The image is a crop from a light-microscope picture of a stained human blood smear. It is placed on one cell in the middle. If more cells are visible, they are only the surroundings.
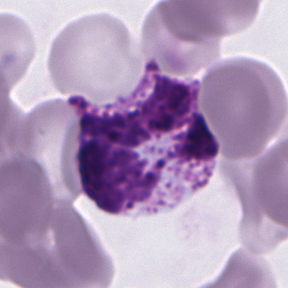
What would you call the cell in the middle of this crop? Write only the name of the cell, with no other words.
basophil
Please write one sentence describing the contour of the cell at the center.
In outline, the cell is irregular, ragged in stretches or drawn into projections.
